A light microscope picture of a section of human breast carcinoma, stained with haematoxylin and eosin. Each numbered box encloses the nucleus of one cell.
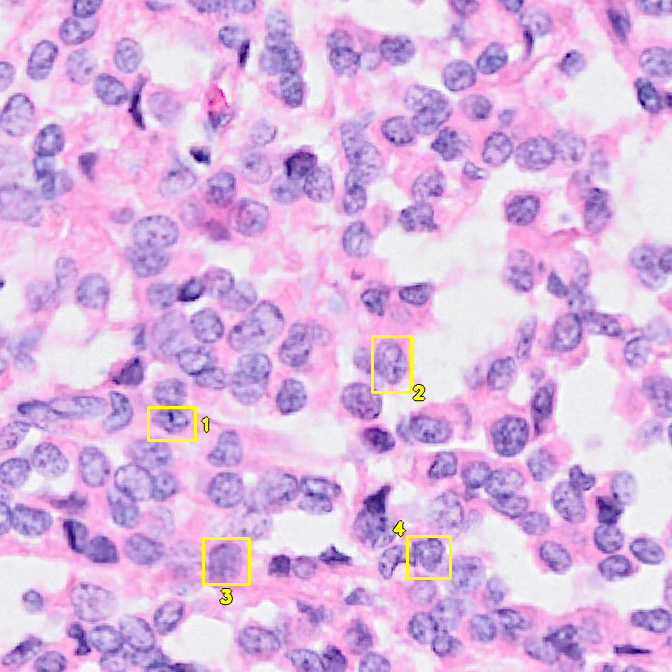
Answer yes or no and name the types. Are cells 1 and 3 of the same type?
No, cell 1 is an endothelial cell and cell 3 is a carcinoma cell.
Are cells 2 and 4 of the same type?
Yes, both are carcinoma cells.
